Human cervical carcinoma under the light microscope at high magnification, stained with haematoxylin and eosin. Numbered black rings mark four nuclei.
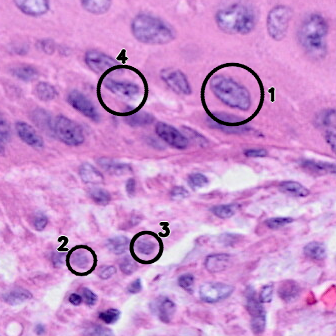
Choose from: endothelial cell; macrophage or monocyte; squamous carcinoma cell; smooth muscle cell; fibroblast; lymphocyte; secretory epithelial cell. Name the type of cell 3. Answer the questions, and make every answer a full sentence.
Marked with the number 3, this cell is a fibroblast.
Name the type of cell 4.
The cell indicated with the number 4 is classed as a squamous carcinoma cell.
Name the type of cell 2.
In this section, the cell tagged 2 is a fibroblast.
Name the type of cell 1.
Number 1 among the marked cells is a squamous carcinoma cell.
